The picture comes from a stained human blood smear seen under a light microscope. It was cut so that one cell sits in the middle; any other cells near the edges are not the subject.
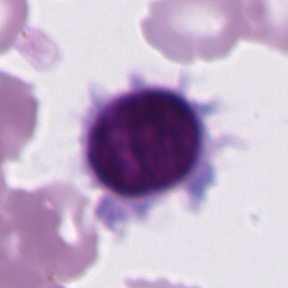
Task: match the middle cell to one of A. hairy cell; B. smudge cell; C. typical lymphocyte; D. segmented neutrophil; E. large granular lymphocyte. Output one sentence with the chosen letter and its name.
The correct response is option A, naming the cell in the middle as a hairy cell.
